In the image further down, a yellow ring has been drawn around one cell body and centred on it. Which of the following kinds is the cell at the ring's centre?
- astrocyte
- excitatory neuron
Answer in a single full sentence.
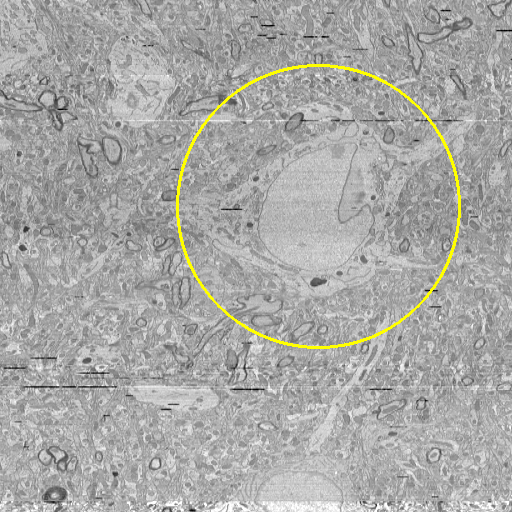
In the picture, the cell sitting at the centre of the yellow ring is an excitatory neuron.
